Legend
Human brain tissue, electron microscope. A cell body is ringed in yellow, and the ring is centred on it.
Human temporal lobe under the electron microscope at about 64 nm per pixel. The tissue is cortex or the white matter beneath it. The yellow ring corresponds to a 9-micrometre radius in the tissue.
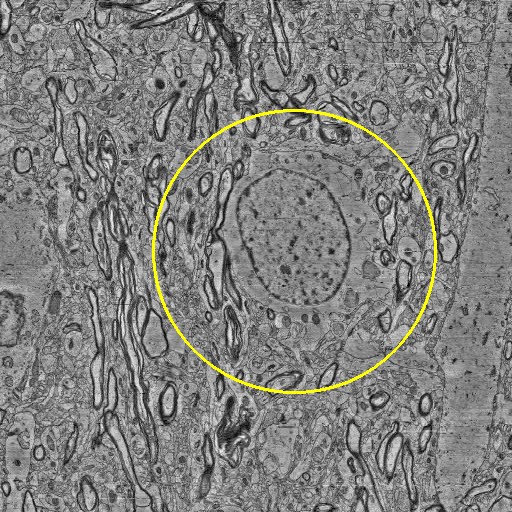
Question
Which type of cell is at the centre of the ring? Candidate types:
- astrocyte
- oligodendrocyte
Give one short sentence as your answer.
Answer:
The yellow ring is centred here on an astrocyte.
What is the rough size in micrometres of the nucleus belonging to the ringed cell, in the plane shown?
About 9 by 7 micrometres in this plane.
